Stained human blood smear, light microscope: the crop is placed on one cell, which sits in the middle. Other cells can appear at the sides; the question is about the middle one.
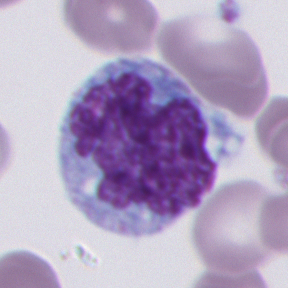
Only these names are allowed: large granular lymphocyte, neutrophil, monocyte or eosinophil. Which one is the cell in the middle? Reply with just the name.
monocyte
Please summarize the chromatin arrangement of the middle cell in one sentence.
This nucleus has coarsely clumped chromatin.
